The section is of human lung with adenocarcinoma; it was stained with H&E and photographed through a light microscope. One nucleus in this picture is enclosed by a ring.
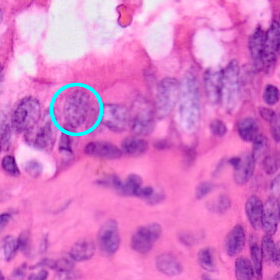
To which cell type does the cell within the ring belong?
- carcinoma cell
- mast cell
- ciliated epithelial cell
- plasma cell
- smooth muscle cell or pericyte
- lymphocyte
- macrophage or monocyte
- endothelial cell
ciliated epithelial cell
